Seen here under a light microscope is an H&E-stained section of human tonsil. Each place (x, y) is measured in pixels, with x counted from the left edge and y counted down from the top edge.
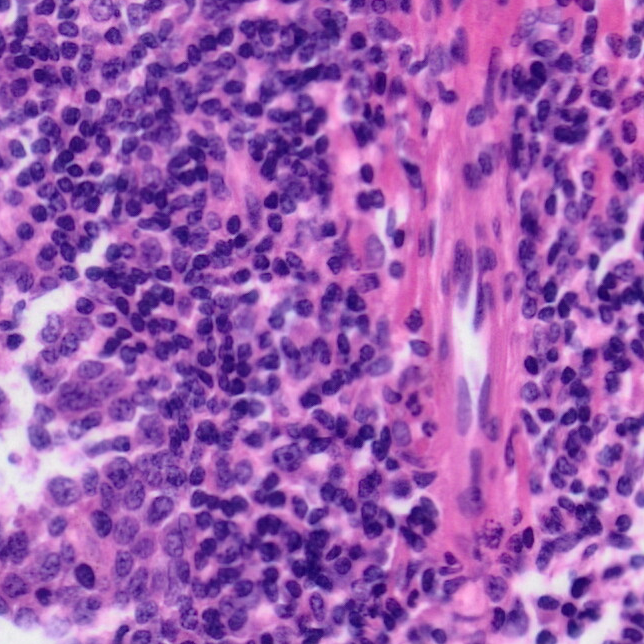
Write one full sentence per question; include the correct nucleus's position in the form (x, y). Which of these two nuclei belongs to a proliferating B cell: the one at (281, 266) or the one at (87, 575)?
Of the two nuclei, the nucleus belonging to a proliferating B cell is located at (87, 575).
